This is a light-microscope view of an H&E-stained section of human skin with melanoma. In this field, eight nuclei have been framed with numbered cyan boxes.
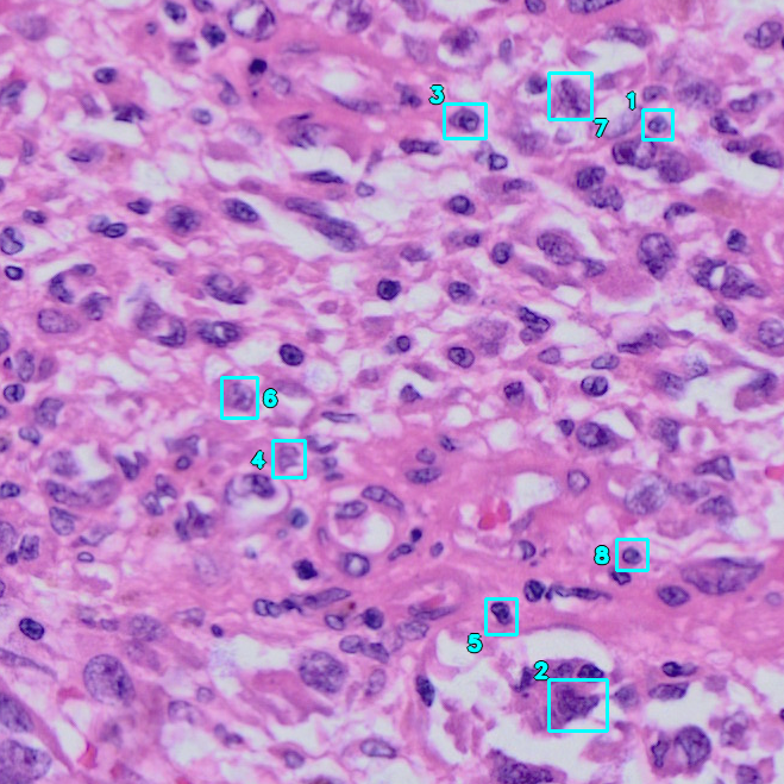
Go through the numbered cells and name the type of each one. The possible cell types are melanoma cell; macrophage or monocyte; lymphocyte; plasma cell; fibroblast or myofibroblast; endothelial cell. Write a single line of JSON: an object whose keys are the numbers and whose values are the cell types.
{"1": "lymphocyte", "2": "melanoma cell", "3": "macrophage or monocyte", "4": "melanoma cell", "5": "lymphocyte", "6": "melanoma cell", "7": "melanoma cell", "8": "lymphocyte"}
